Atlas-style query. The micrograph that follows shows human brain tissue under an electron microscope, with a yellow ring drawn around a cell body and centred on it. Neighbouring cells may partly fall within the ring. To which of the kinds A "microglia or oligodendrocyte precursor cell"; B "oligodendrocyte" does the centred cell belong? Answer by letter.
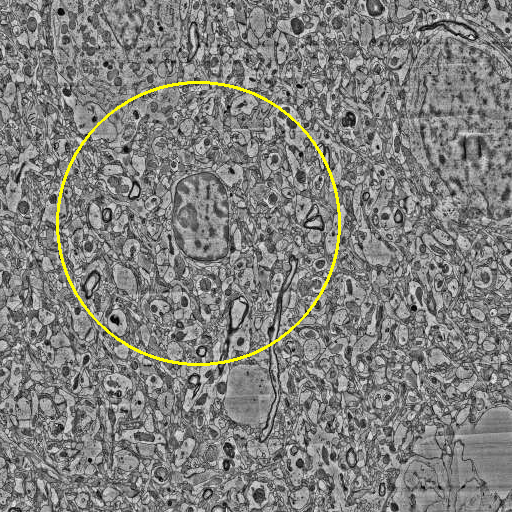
A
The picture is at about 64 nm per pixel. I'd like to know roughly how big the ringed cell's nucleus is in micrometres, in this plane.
About 6 by 4 micrometres in this plane.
